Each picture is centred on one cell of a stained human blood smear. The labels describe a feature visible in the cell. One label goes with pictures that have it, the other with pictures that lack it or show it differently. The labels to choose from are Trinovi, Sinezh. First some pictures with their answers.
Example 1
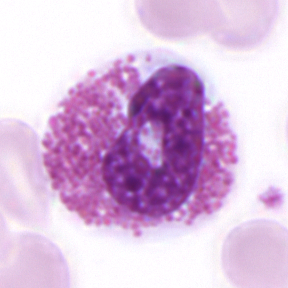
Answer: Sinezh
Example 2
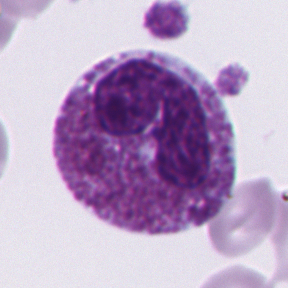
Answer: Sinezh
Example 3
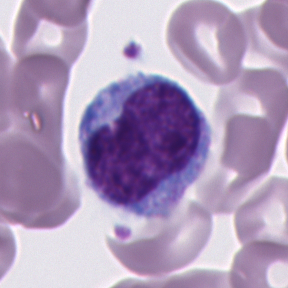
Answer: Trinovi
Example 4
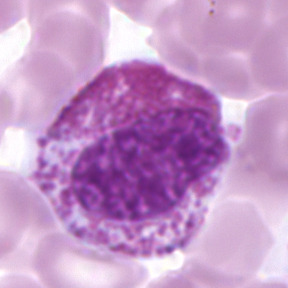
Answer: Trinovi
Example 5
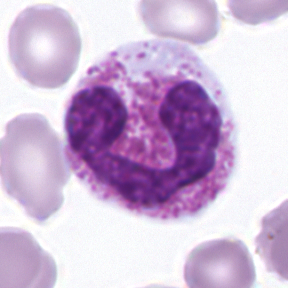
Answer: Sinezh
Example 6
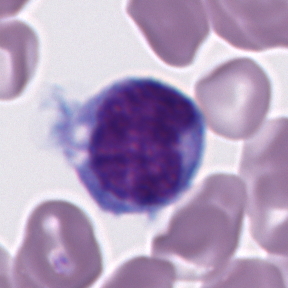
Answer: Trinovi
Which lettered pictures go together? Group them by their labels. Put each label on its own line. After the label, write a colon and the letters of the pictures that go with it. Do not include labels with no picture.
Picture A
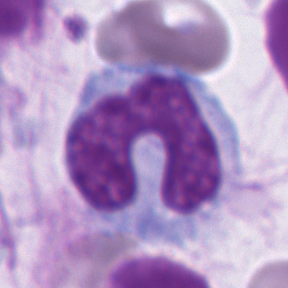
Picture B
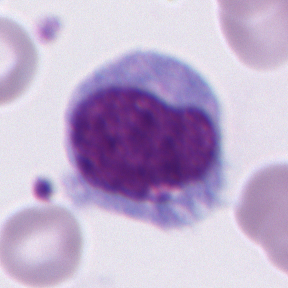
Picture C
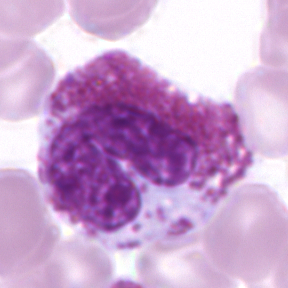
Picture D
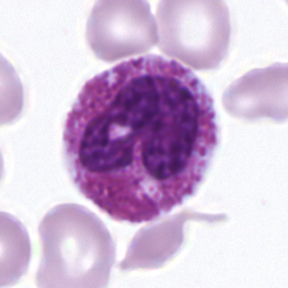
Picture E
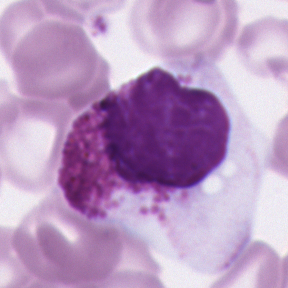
Trinovi: B, E
Sinezh: A, C, D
